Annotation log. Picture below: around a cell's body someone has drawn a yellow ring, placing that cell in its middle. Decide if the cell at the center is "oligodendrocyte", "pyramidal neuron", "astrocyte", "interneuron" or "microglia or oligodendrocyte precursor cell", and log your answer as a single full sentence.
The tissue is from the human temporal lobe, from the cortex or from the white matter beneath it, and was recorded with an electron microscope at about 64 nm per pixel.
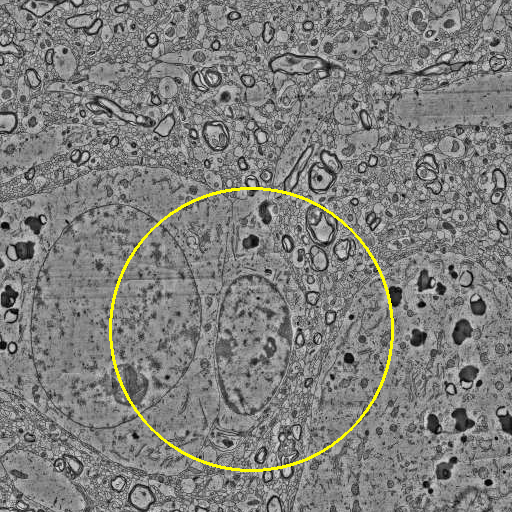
My entry records a microglial cell or oligodendrocyte precursor cell as the cell sitting at the center of the yellow ring.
